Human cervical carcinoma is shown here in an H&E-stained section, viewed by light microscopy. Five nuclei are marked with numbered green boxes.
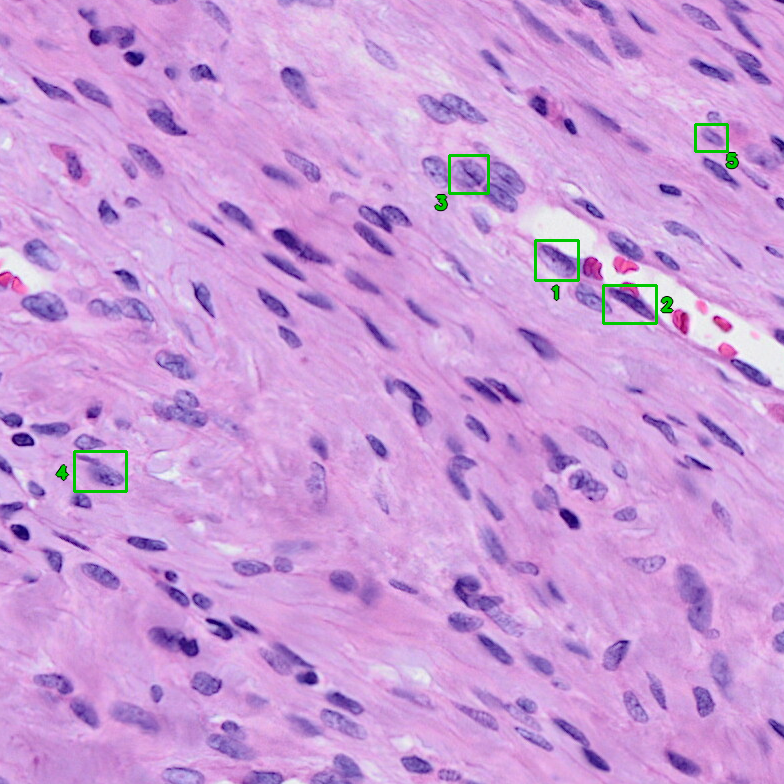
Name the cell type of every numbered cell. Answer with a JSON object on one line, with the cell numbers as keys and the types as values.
{"1": "endothelial cell", "2": "endothelial cell", "3": "endothelial cell", "4": "fibroblast", "5": "smooth muscle cell"}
